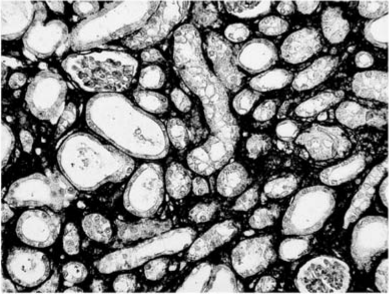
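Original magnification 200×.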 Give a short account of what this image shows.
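The tubules vary in size, many rounded or elongated with wide, pale lumens and thin linings, and some contain pale cellular debris. A glomerulus is recognisable near the lower right edge. The spaces between tubules are broad and almost entirely occupied by intense dark stain, outlining each tubule like a network. The tubular epithelial cells themselves are unstained. Against normal cortex, where tubules are tightly packed, the interstitium here is expanded and heavily stained.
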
